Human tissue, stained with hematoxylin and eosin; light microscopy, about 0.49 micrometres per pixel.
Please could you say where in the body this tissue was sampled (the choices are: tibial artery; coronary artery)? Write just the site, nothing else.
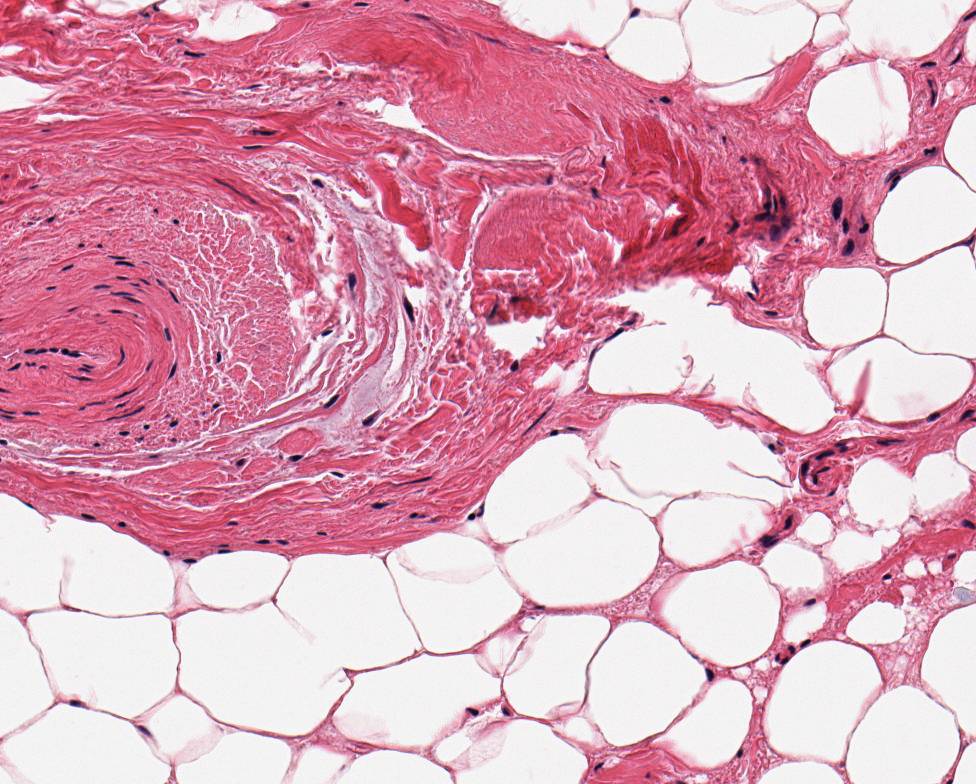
coronary artery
